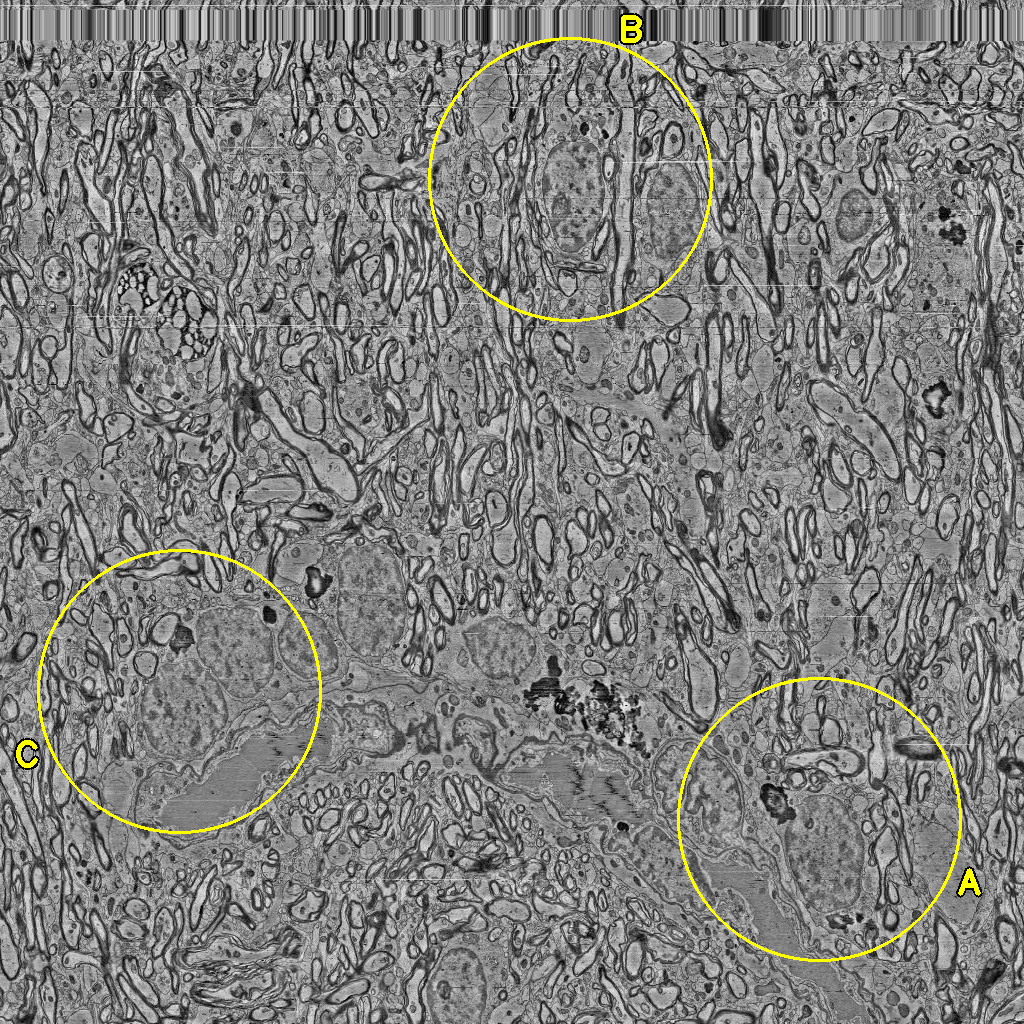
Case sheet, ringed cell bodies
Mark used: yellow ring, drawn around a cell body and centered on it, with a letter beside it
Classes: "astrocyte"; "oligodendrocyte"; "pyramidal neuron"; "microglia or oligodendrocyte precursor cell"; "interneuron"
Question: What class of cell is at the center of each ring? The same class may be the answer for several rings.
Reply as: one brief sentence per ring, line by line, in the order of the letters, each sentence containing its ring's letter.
Ring A has an oligodendrocyte at its center.
Ring B has a microglial cell or oligodendrocyte precursor cell at its center.
Ring C has an oligodendrocyte at its center.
